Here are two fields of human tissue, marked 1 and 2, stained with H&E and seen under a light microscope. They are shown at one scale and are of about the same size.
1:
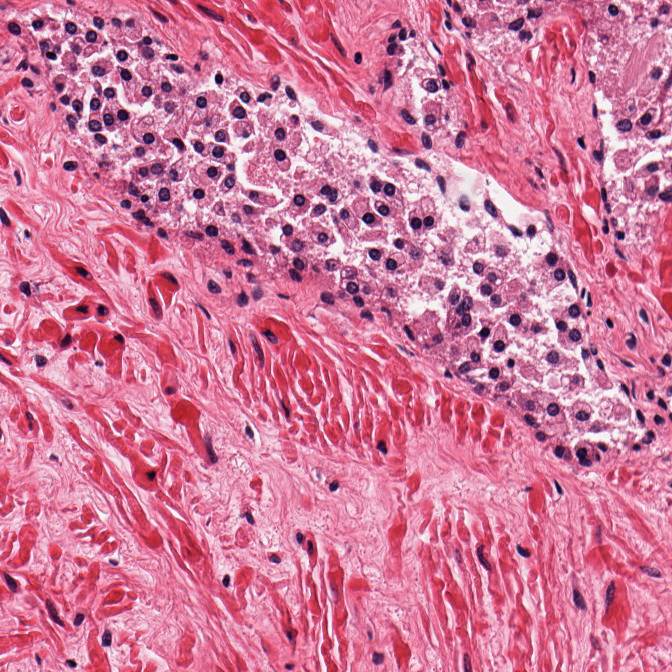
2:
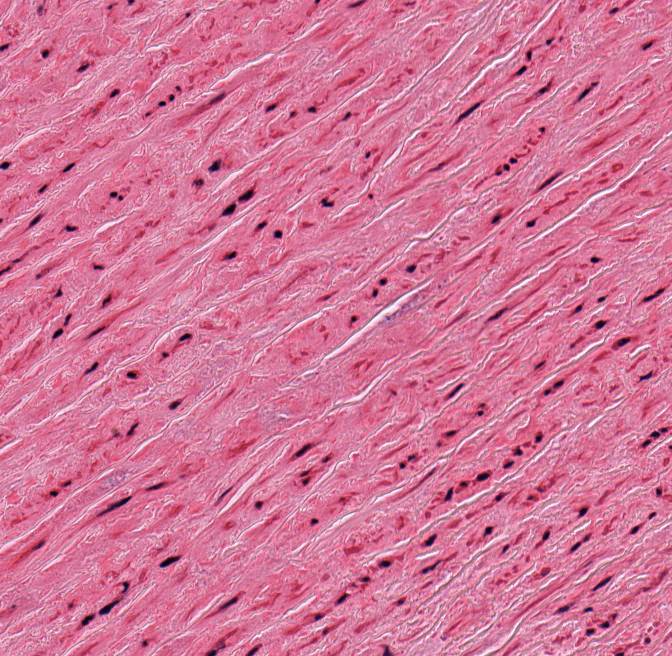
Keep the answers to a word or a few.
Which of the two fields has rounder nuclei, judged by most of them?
1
